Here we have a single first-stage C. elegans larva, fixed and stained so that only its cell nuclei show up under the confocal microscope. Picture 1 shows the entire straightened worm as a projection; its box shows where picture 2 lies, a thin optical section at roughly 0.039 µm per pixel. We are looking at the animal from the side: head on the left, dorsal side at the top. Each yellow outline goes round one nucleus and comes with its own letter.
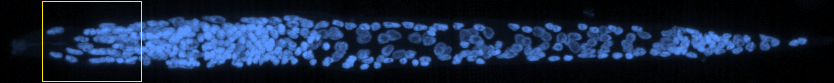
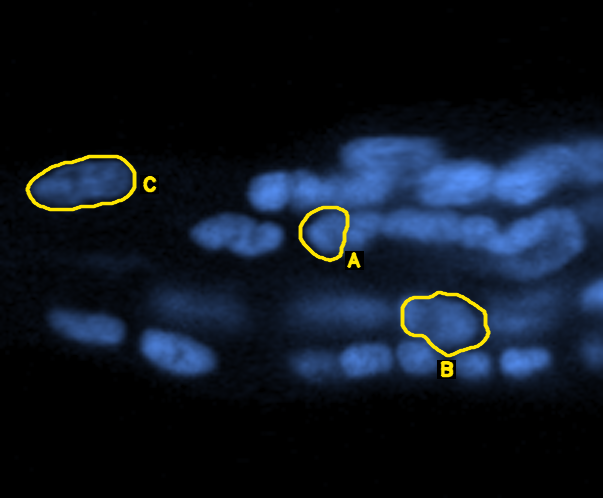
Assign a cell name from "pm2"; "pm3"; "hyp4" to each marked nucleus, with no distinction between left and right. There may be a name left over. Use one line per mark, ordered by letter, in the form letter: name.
A: pm2
B: pm3
C: hyp4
